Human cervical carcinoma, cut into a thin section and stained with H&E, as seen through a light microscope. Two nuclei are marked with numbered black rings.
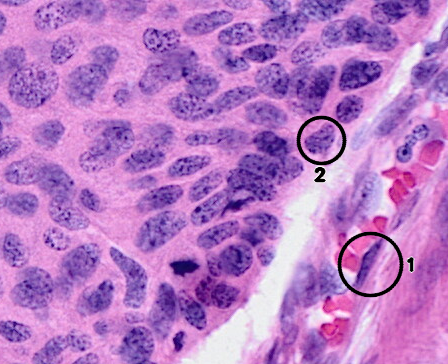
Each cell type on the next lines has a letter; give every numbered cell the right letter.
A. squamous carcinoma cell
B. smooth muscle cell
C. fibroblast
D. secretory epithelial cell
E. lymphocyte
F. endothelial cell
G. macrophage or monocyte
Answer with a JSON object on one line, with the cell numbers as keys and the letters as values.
{"1": "F", "2": "A"}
